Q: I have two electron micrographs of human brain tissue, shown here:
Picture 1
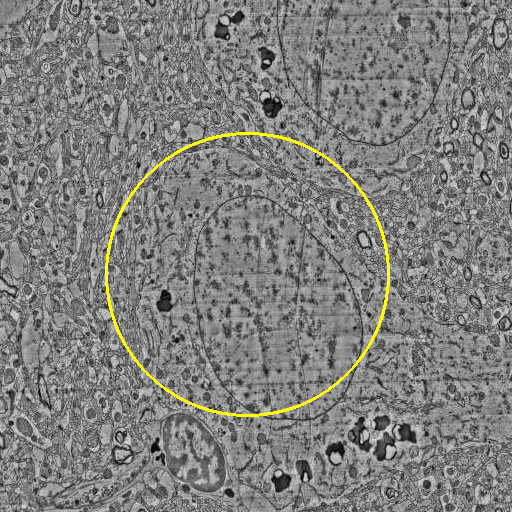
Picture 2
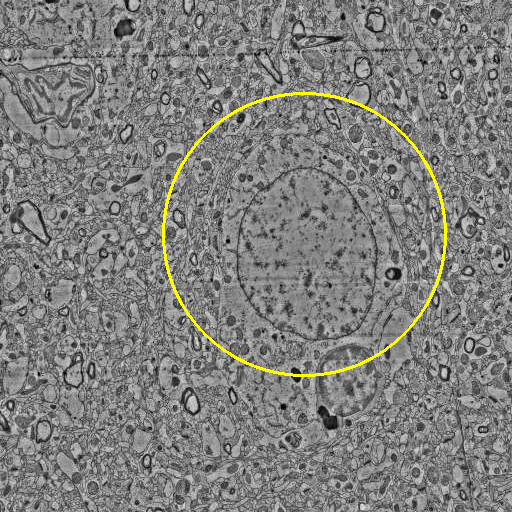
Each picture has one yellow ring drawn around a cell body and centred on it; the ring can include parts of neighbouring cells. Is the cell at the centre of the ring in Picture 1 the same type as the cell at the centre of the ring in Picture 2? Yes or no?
yes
